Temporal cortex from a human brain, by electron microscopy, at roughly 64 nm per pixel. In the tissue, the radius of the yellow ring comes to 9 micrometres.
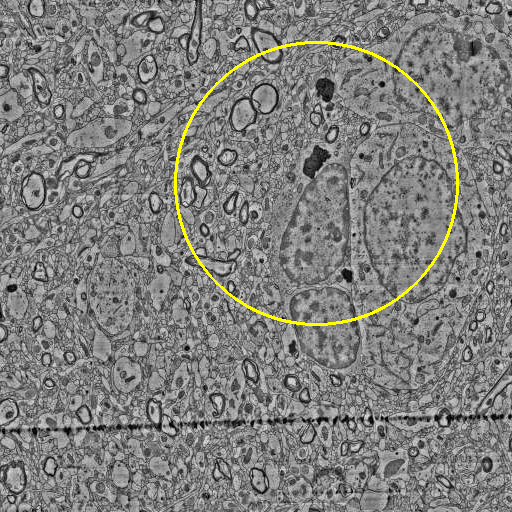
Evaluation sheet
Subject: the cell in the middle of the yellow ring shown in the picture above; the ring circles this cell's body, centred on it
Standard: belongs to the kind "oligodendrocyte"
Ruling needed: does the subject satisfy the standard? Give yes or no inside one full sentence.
Yes, the cell in the middle of the ring in the picture above belongs to the stated kind.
